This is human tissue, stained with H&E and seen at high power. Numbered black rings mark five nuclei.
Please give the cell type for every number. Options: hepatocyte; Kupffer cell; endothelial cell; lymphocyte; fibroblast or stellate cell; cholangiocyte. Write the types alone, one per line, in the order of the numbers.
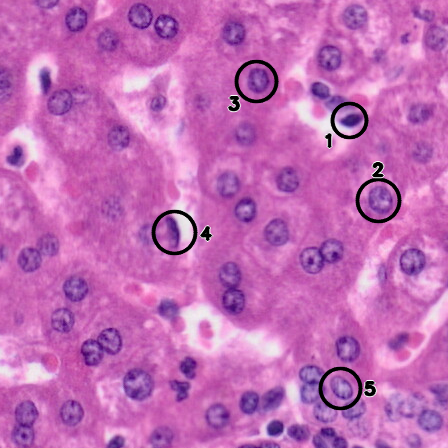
lymphocyte
hepatocyte
hepatocyte
endothelial cell
cholangiocyte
